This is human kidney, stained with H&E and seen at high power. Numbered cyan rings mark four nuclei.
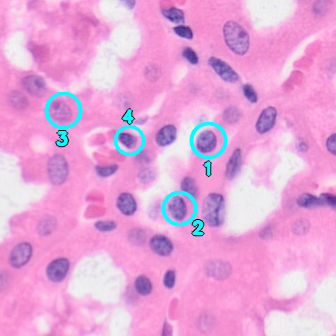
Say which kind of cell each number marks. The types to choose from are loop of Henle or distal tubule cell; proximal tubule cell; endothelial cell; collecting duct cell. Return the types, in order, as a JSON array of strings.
["loop of Henle or distal tubule cell", "loop of Henle or distal tubule cell", "proximal tubule cell", "endothelial cell"]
